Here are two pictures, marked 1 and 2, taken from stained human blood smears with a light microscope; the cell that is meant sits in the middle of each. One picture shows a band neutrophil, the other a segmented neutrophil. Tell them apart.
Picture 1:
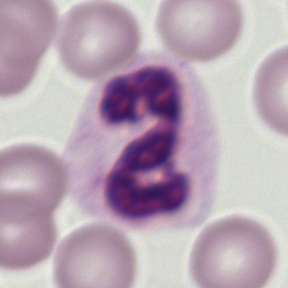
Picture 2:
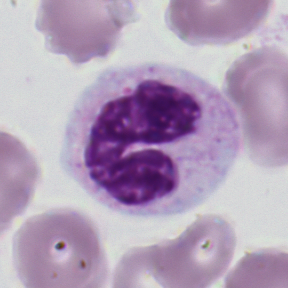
1: segmented neutrophil
2: band neutrophil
